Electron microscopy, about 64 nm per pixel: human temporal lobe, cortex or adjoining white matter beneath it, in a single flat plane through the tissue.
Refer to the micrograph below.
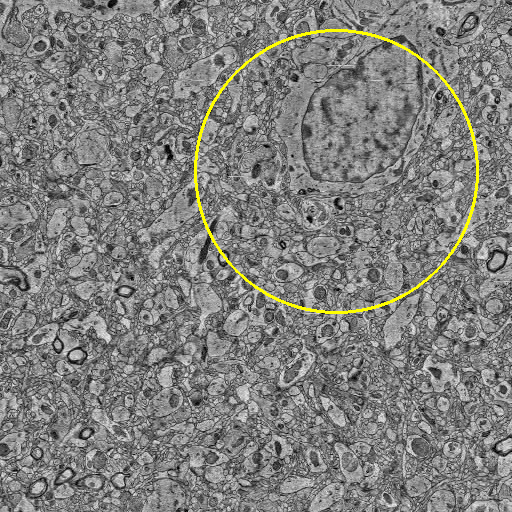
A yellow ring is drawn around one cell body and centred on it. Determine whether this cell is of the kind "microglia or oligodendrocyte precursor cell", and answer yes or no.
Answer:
yes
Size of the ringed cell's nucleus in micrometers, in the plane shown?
In this plane the nucleus is roughly 11 by 7 micrometres, clearly longer than it is wide.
